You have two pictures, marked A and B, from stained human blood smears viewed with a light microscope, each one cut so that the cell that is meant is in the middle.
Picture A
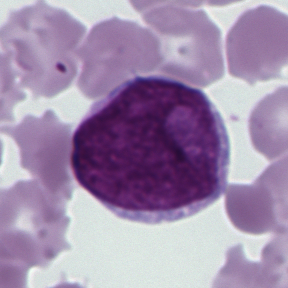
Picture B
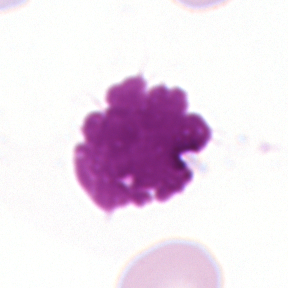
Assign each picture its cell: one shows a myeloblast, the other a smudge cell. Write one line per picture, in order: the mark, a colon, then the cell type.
A: myeloblast
B: smudge cell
